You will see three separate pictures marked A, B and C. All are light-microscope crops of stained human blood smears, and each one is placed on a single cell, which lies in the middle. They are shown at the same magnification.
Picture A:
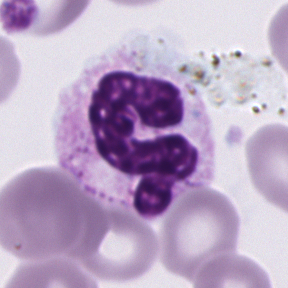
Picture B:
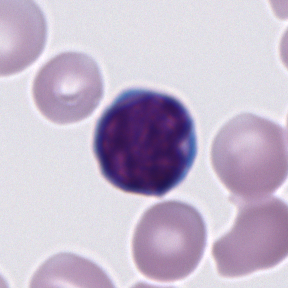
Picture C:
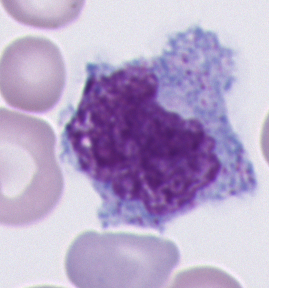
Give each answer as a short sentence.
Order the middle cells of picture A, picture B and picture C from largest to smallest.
Going down, they run C, A, B.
